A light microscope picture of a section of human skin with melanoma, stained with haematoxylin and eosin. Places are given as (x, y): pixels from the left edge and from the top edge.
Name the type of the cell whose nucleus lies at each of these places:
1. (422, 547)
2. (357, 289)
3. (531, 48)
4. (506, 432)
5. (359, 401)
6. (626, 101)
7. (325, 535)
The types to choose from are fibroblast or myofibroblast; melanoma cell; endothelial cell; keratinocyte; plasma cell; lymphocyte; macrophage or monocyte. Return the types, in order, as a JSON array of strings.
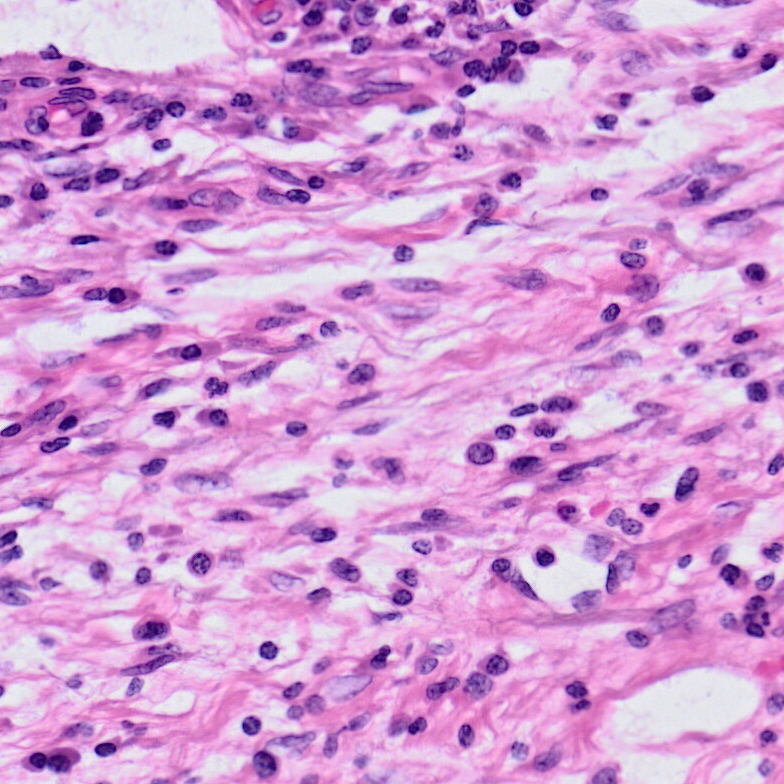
["lymphocyte", "macrophage or monocyte", "plasma cell", "plasma cell", "fibroblast or myofibroblast", "plasma cell", "lymphocyte"]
